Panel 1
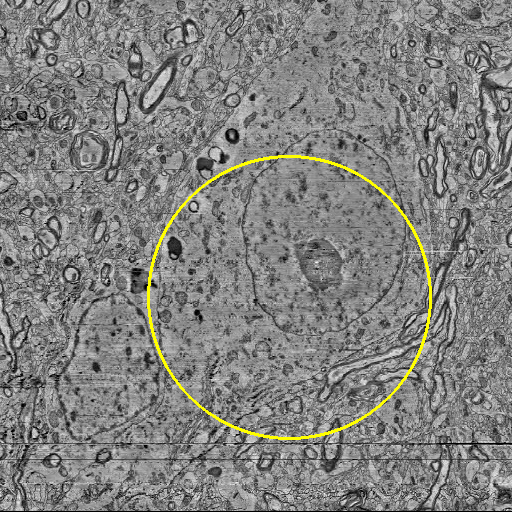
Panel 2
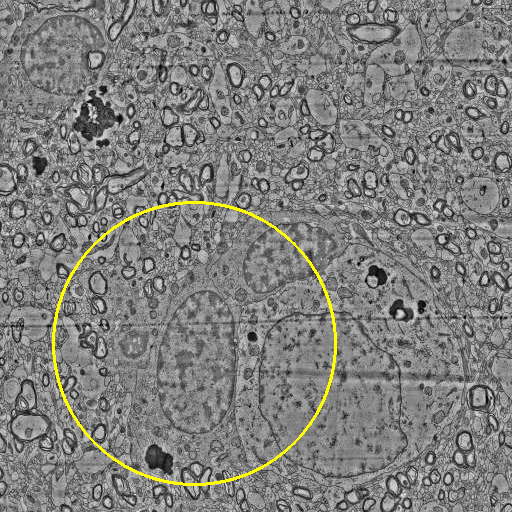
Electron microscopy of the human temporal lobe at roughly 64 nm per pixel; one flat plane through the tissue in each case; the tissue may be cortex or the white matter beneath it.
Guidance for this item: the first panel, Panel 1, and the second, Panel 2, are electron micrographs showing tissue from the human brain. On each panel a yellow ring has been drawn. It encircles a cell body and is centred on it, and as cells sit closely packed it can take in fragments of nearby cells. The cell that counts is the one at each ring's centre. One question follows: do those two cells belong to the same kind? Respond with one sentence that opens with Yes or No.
No, the cells at the ring centres in Panel 1 and Panel 2 are of two kinds.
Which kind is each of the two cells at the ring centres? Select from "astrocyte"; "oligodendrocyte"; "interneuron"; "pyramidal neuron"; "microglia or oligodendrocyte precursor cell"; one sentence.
The cell at the centre of the ring is a pyramidal neuron in the first picture and an oligodendrocyte in the second.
